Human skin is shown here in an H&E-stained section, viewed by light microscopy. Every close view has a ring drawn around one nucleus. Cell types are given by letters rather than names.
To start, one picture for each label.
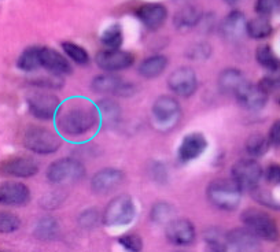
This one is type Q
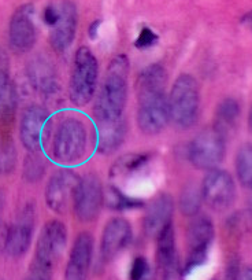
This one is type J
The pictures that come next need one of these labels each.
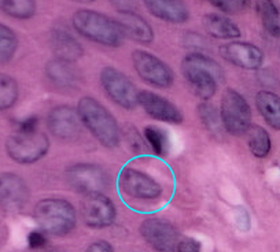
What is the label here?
type Q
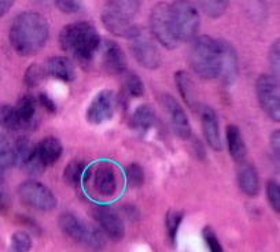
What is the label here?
type Q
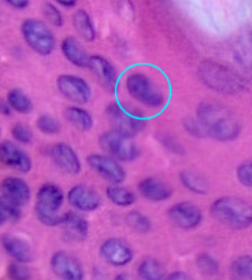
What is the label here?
type J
